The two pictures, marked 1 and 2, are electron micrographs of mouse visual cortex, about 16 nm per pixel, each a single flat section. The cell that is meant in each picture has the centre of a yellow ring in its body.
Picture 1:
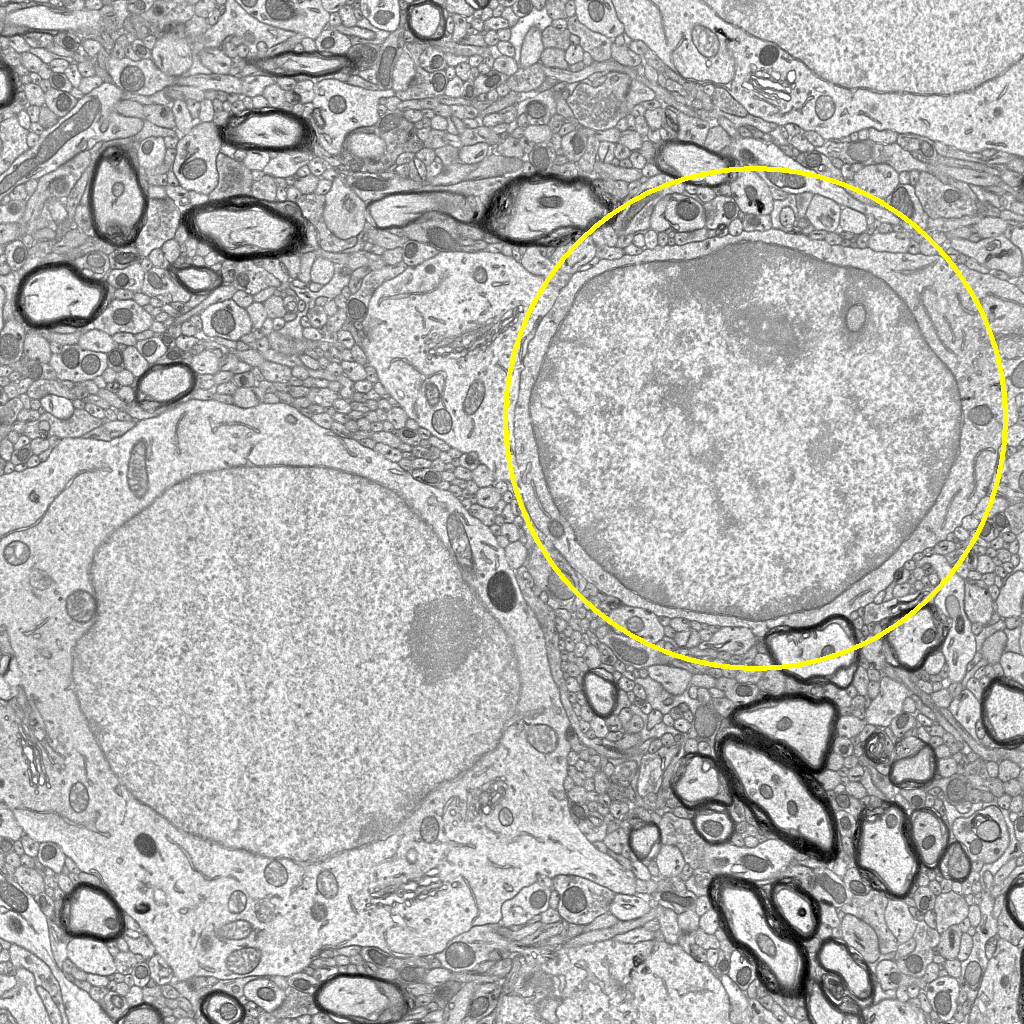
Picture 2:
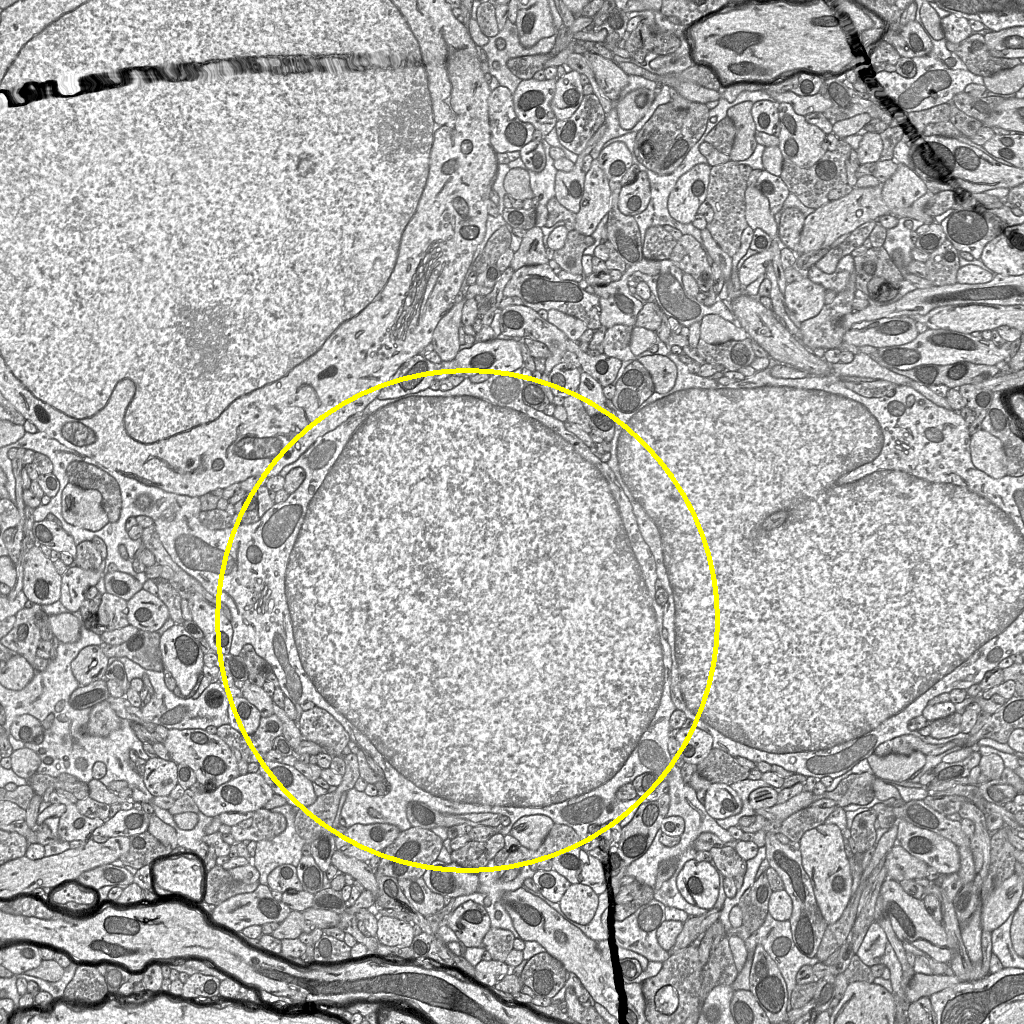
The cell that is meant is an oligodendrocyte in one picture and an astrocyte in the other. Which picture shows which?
Picture 1 shows an oligodendrocyte and picture 2 shows an astrocyte.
